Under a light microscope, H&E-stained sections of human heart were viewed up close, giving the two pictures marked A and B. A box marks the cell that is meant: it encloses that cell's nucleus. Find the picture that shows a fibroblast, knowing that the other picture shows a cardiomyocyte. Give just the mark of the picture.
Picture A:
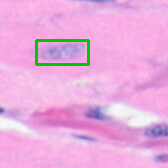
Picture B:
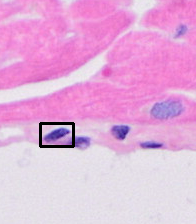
B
